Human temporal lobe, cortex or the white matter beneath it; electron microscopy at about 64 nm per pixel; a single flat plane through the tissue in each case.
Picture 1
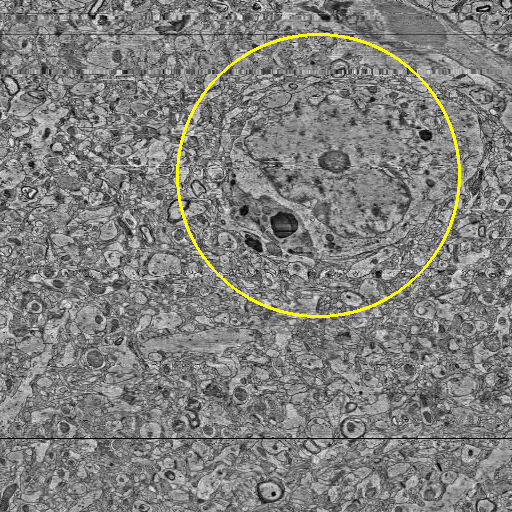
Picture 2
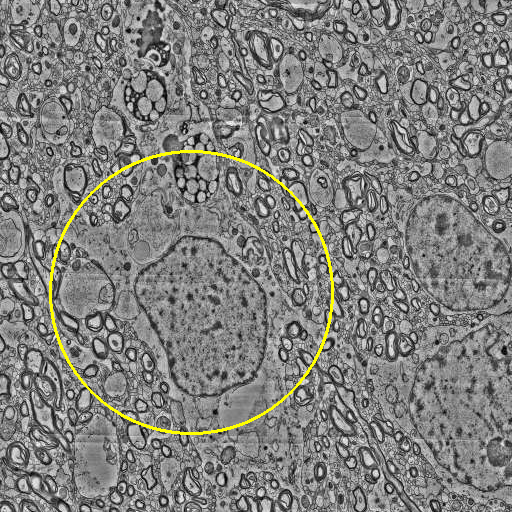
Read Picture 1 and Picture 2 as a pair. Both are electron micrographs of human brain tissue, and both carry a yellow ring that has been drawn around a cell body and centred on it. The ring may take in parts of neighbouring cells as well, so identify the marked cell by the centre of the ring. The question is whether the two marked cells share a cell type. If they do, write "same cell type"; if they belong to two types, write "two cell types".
two cell types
